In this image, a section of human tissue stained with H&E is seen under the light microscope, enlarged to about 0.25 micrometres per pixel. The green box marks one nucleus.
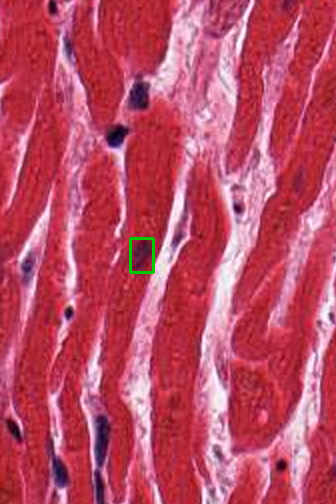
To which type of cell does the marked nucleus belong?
cardiomyocyte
